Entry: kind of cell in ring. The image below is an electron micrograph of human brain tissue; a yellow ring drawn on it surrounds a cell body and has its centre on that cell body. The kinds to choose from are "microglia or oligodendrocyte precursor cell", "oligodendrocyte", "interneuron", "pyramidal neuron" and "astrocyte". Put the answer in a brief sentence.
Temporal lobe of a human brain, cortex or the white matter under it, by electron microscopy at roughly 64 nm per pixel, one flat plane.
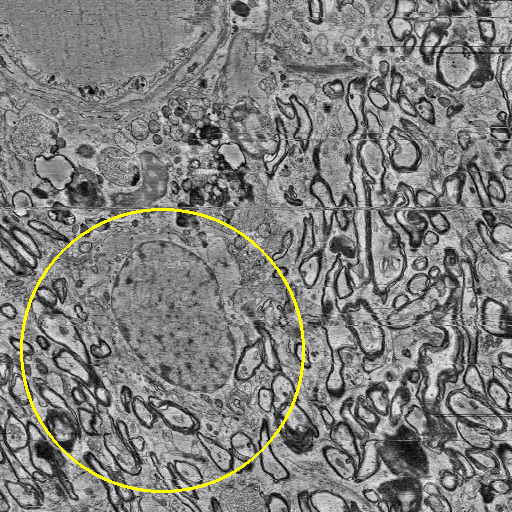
The ring has been drawn around an astrocyte.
